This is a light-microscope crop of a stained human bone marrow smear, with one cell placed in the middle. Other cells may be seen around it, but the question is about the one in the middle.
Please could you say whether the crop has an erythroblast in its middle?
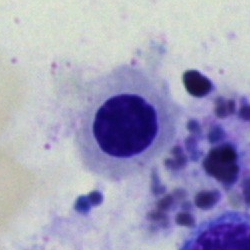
yes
